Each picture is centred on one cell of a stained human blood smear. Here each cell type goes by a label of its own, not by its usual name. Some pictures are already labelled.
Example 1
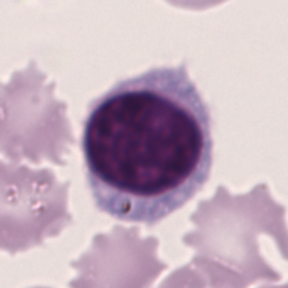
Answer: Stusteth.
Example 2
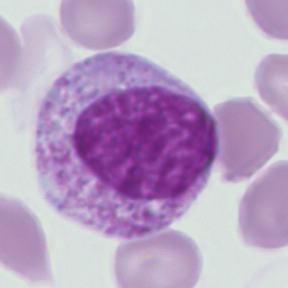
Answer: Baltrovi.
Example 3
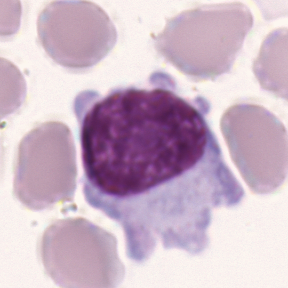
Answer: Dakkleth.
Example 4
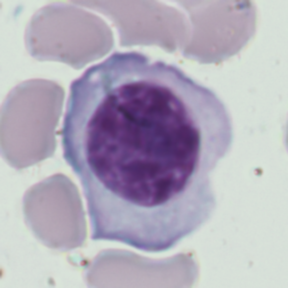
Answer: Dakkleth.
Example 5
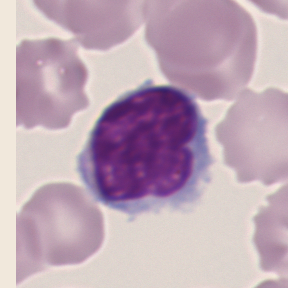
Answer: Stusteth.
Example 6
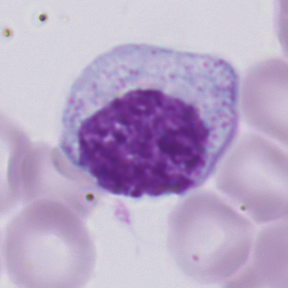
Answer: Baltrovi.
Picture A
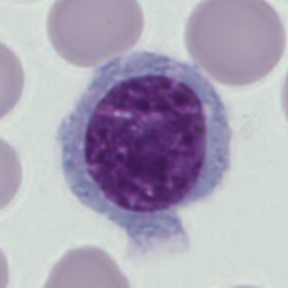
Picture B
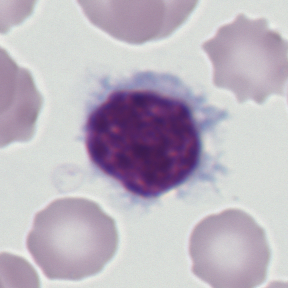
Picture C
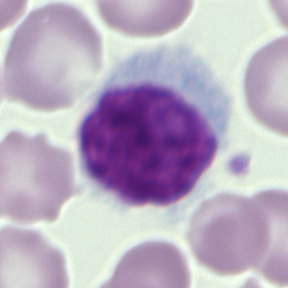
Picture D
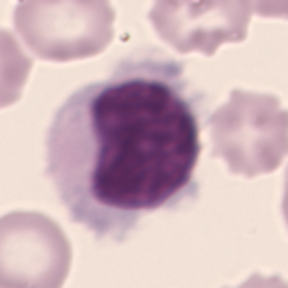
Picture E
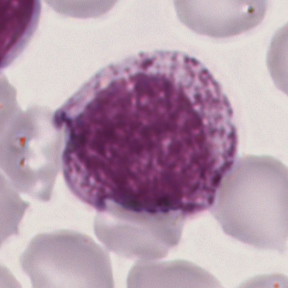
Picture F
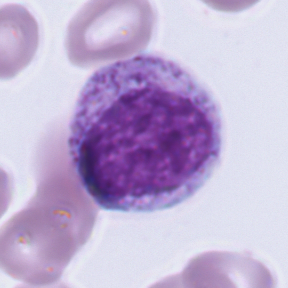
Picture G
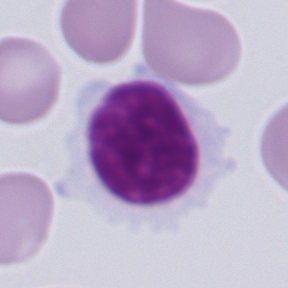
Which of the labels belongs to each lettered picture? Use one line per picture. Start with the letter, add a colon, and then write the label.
A: Dakkleth.
B: Stusteth.
C: Stusteth.
D: Stusteth.
E: Baltrovi.
F: Baltrovi.
G: Stusteth.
